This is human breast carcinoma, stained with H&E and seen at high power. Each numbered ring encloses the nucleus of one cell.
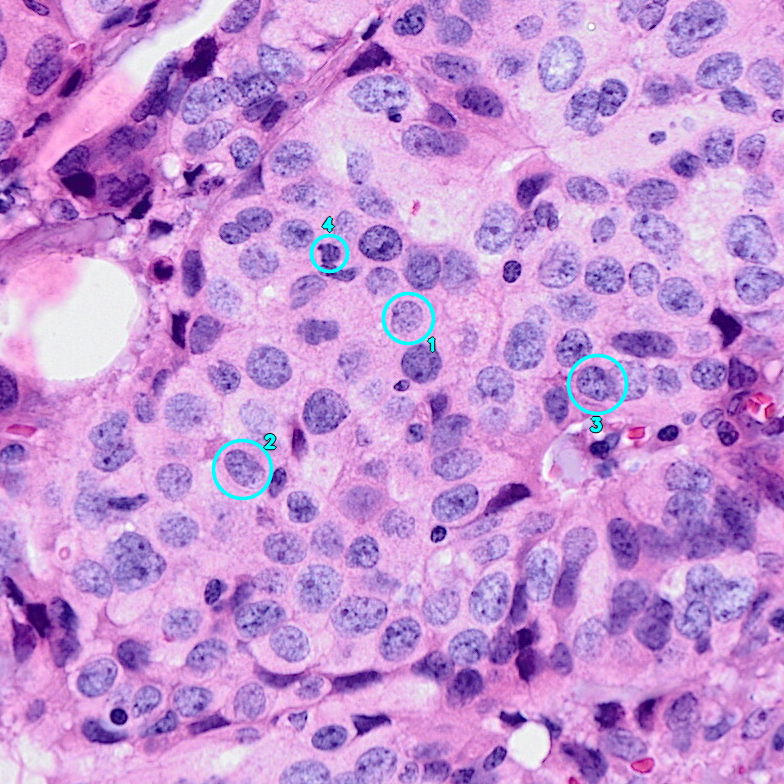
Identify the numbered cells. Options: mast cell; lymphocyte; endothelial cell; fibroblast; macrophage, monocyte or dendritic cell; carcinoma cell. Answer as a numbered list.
1. carcinoma cell
2. carcinoma cell
3. carcinoma cell
4. lymphocyte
